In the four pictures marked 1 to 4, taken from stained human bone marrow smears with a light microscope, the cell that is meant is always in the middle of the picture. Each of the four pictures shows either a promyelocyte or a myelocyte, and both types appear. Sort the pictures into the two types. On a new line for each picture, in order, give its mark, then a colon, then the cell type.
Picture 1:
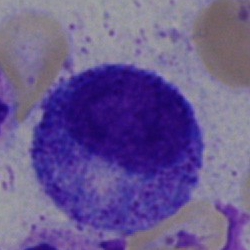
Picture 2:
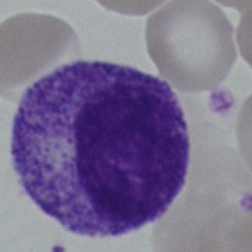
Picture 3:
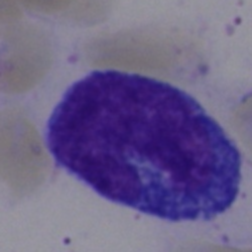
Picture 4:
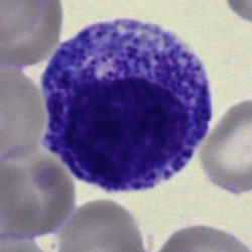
1: promyelocyte
2: myelocyte
3: promyelocyte
4: myelocyte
